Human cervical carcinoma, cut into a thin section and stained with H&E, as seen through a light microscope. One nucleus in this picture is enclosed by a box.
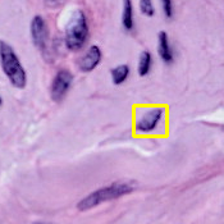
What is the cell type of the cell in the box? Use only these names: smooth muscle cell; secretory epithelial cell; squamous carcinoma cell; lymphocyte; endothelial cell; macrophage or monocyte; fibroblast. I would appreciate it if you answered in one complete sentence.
With respect to cell type, the cell in the box is a fibroblast.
